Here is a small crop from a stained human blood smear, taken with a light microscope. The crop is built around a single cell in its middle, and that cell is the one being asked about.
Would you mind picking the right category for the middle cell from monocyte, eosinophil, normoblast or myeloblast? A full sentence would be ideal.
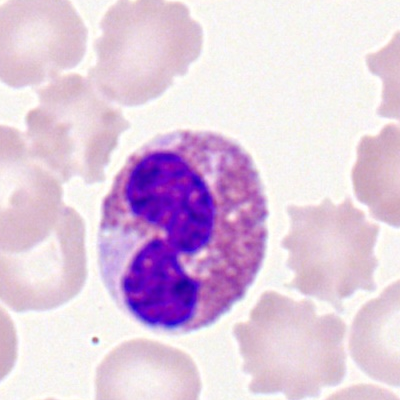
The central cell in this smear crop is an eosinophil.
